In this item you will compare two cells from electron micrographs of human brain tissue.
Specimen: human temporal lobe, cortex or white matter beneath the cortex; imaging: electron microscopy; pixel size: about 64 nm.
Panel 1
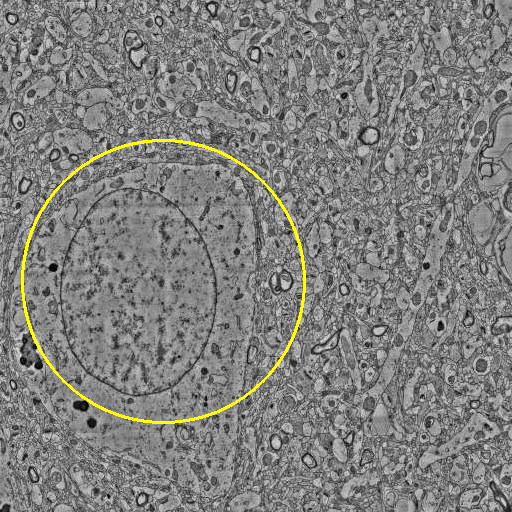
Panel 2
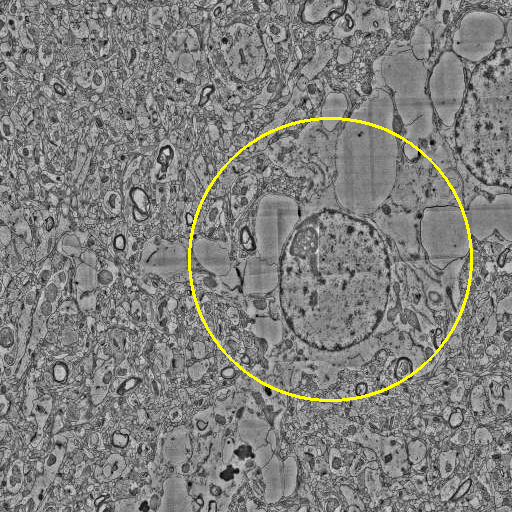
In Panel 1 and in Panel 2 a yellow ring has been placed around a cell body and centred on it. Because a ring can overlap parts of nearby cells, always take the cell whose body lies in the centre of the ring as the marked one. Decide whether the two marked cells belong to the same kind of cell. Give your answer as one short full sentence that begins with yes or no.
No, the two marked cells belong to two kinds of cell.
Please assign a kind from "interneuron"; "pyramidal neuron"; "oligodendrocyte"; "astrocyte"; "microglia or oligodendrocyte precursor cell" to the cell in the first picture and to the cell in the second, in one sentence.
In the first picture we have a pyramidal neuron, and in the second, an astrocyte.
